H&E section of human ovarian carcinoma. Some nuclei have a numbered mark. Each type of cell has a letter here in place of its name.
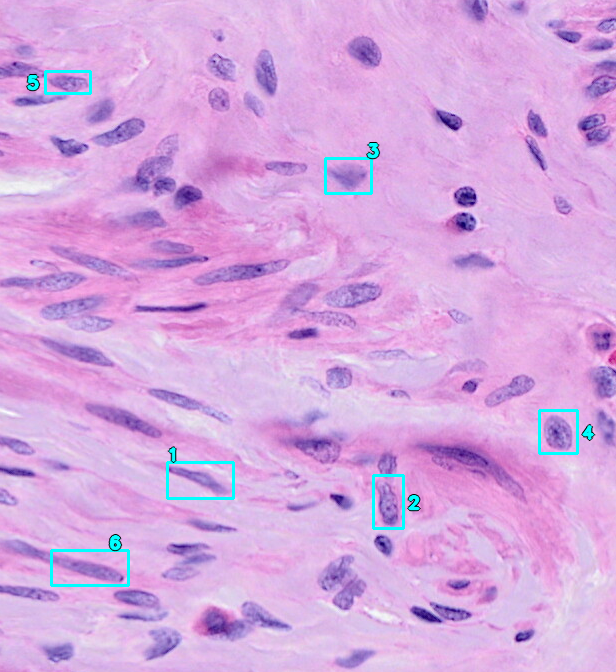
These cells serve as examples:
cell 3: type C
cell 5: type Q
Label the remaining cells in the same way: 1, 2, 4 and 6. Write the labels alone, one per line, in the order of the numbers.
type Q
type Q
type C
type Q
